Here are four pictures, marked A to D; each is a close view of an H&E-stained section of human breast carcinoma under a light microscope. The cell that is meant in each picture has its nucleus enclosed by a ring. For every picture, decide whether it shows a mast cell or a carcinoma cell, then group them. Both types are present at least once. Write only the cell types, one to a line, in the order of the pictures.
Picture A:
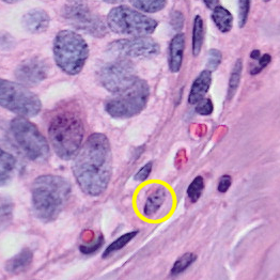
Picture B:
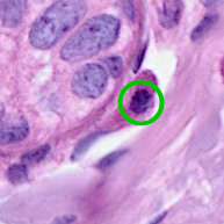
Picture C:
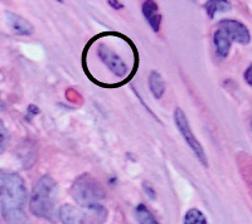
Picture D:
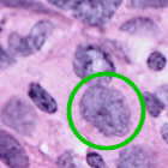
mast cell
mast cell
mast cell
carcinoma cell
